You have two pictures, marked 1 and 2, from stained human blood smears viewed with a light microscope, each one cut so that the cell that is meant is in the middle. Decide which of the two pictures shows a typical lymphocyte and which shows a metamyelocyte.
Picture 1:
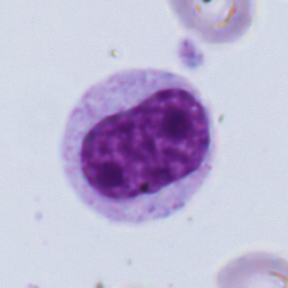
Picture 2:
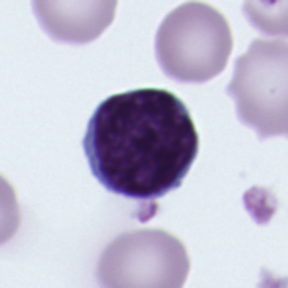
1: metamyelocyte
2: typical lymphocyte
